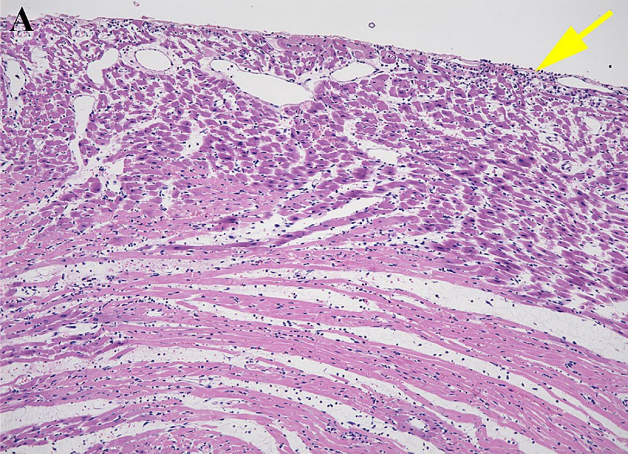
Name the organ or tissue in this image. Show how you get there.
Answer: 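Myocardium. Pink muscle fibres run in bundles, cut across near the surface and lengthwise deeper down. Fibres carry small dark oval nuclei and lie between thin pale clefts.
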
